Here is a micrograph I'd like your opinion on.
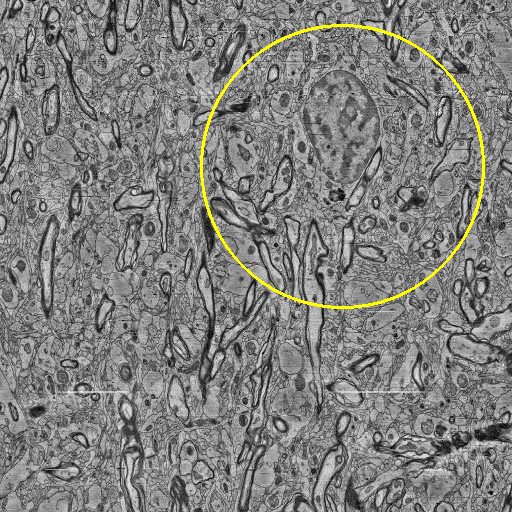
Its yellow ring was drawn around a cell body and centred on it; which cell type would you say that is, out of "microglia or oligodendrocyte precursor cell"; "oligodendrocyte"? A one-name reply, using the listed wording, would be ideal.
microglia or oligodendrocyte precursor cell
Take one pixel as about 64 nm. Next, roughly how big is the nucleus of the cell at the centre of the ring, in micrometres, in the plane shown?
The nucleus comes to approximately 7 by 5 micrometres and is clearly longer than it is wide in this plane.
